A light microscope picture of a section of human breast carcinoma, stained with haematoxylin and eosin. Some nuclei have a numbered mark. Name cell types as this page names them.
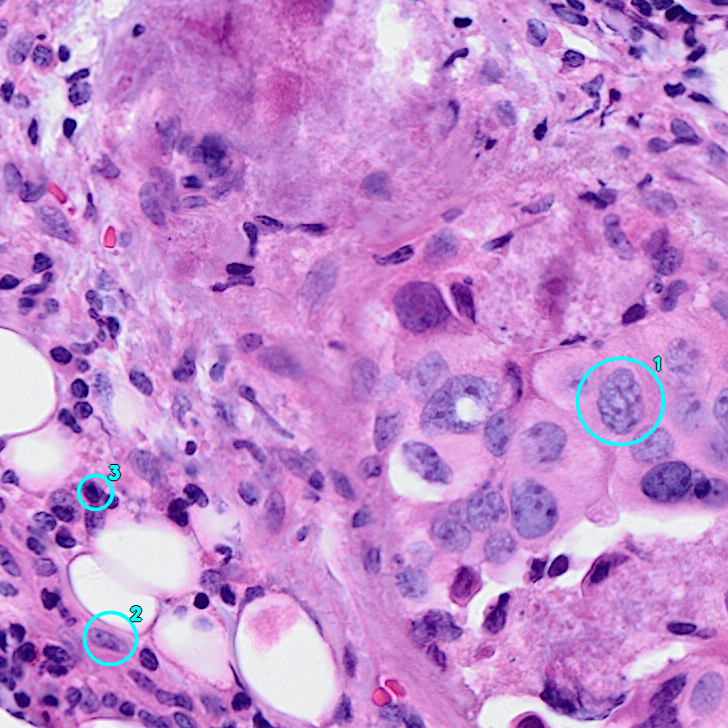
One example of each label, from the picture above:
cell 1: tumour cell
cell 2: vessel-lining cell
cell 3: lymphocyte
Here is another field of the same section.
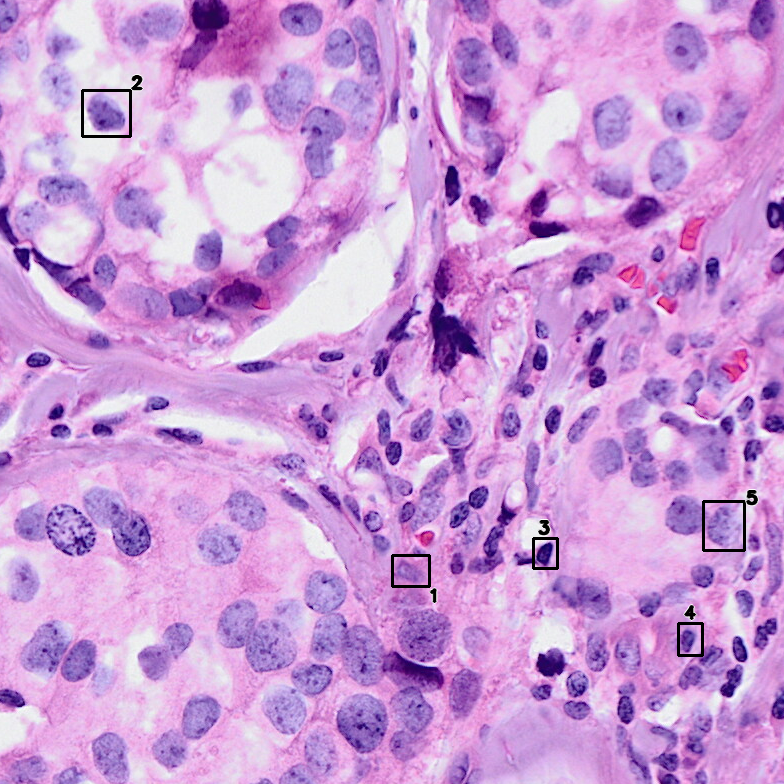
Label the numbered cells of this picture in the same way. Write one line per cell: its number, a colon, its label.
1: vessel-lining cell
2: tumour cell
3: lymphocyte
4: lymphocyte
5: tumour cell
